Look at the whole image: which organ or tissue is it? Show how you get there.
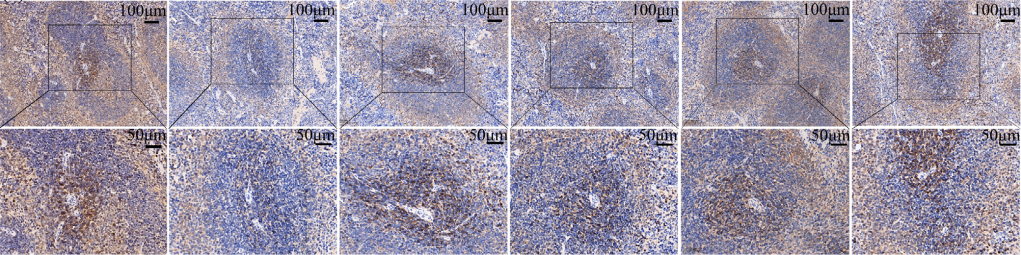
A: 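Rounded aggregates of densely packed small cells stand out against surrounding tissue. Brown staining concentrates in the aggregates around a central vessel. Blue-counterstained nuclei fill the surrounding tissue. So: spleen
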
